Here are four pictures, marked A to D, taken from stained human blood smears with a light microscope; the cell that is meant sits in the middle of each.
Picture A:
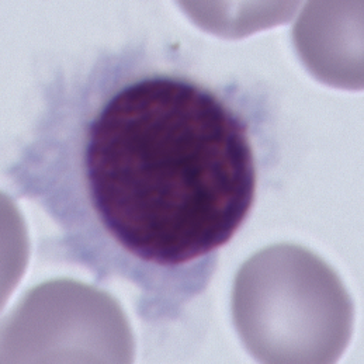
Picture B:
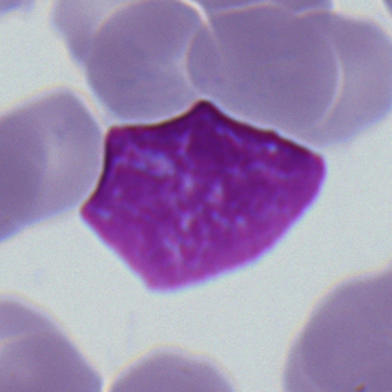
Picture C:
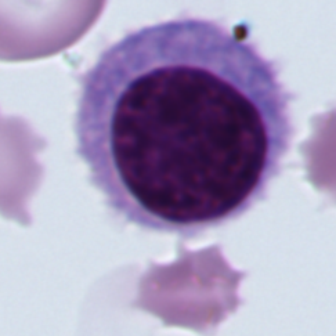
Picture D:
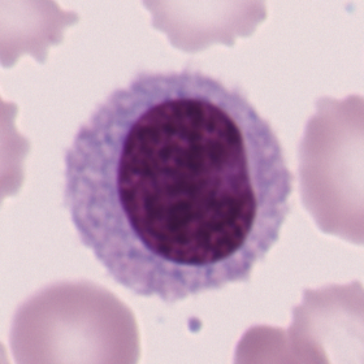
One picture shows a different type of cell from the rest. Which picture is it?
B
